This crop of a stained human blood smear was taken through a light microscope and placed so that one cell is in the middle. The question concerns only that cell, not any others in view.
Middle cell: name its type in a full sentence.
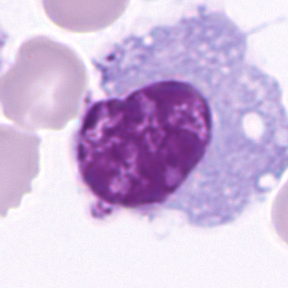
The crop centres on a single cell, and that cell is a plasma cell.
